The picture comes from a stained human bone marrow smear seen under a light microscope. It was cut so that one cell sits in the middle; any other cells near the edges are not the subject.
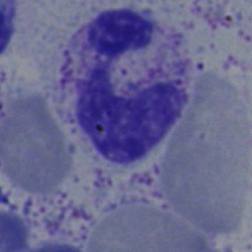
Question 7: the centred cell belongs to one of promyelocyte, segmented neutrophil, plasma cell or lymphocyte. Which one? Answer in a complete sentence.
The cell found in the middle of this crop is a segmented neutrophil.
